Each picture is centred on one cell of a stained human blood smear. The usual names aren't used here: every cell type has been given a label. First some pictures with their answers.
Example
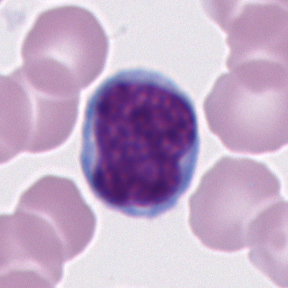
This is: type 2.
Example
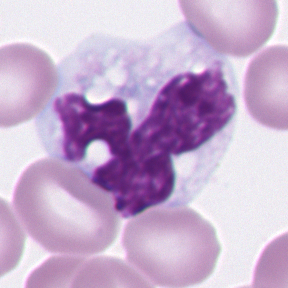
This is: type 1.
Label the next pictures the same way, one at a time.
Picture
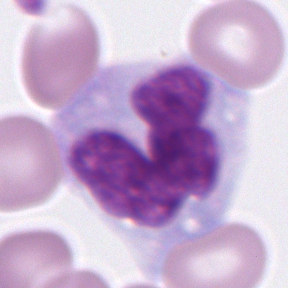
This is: type 1.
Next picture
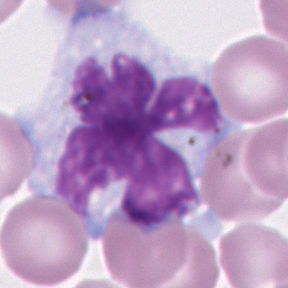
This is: type 1.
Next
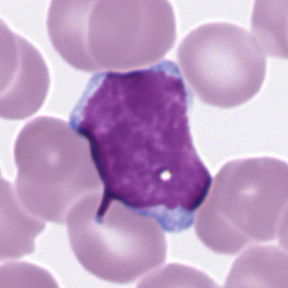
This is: type 2.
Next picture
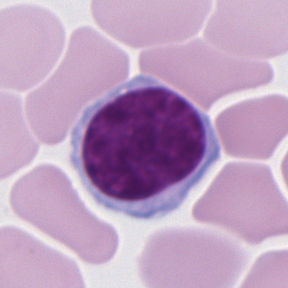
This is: type 2.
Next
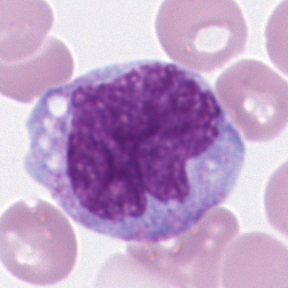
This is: type 1.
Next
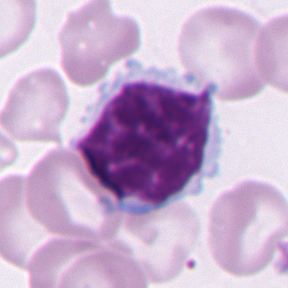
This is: type 2.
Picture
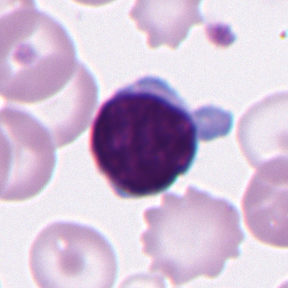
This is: type 2.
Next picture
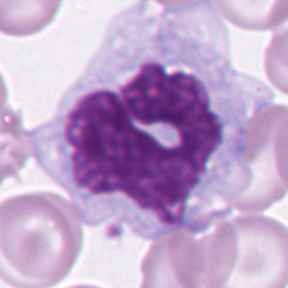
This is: type 1.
